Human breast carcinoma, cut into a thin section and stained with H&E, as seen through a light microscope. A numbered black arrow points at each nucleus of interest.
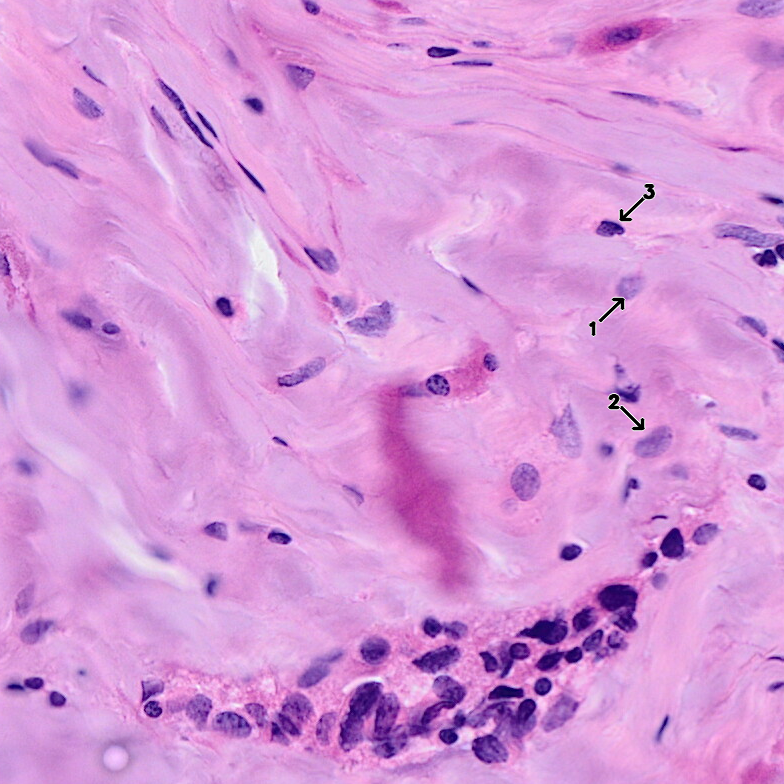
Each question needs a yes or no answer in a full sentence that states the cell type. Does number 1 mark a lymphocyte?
No, number 1 is assigned to a fibroblast, not to a lymphocyte.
